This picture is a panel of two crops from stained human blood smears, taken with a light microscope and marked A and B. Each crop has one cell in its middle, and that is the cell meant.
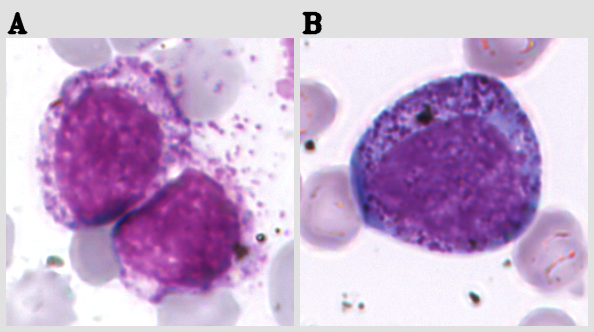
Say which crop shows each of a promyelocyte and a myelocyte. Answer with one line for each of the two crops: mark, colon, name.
A: myelocyte
B: promyelocyte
